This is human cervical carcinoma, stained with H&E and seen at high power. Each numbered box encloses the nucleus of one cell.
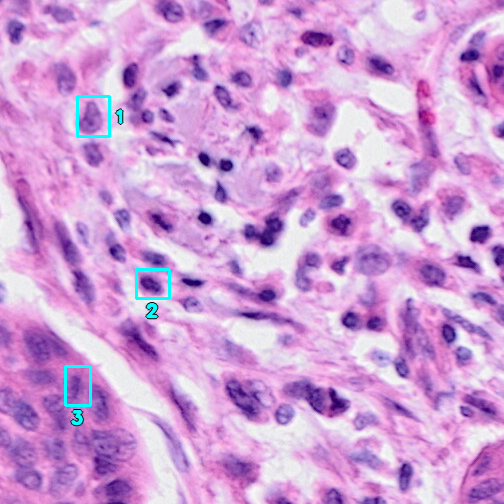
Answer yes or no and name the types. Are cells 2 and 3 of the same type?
No, classify cell 2 as a lymphocyte and cell 3 as a squamous carcinoma cell.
